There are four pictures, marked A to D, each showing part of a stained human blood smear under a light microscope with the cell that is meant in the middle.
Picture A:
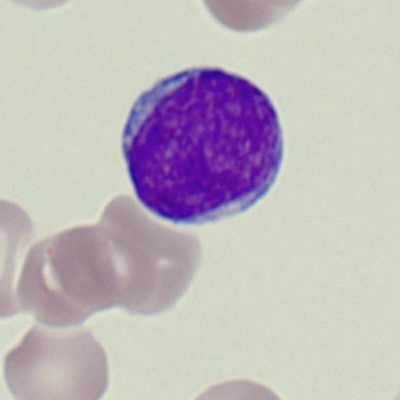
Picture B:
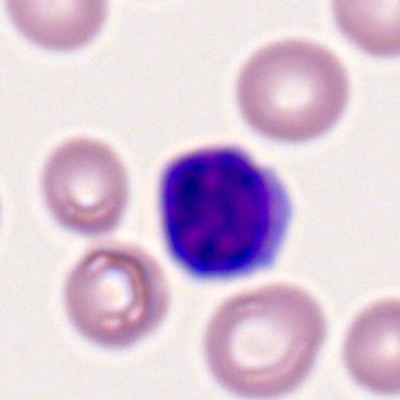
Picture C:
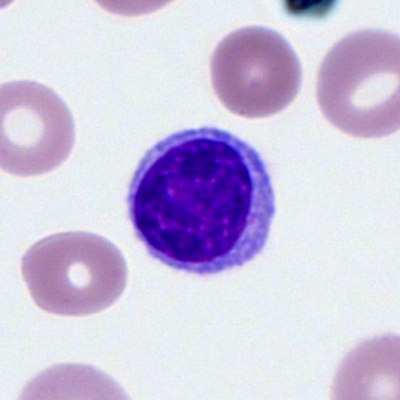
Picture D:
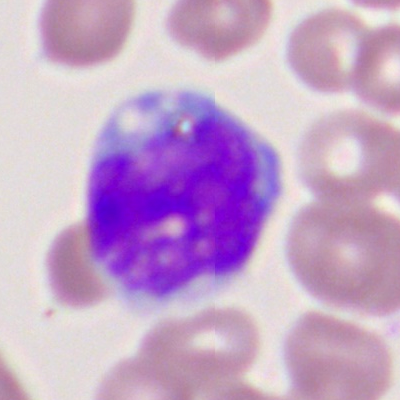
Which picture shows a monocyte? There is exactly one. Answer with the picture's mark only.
D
